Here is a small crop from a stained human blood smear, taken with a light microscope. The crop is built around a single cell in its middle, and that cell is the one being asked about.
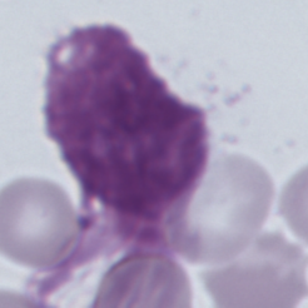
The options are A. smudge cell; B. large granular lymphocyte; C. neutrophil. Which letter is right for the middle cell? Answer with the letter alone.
A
